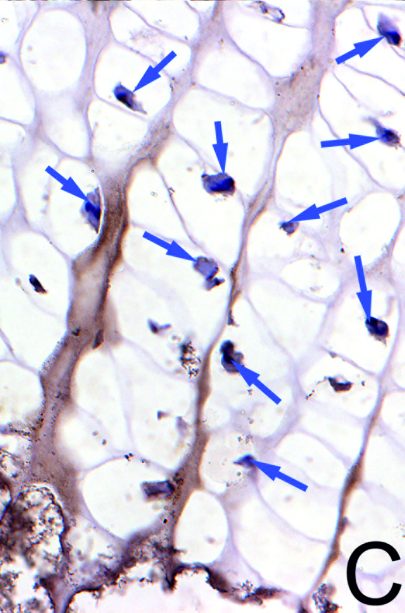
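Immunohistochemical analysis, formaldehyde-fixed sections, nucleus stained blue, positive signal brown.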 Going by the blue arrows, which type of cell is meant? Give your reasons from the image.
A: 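Chondrocyte. Arrowed cells lie singly within large clear lacunae of cartilage matrix.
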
